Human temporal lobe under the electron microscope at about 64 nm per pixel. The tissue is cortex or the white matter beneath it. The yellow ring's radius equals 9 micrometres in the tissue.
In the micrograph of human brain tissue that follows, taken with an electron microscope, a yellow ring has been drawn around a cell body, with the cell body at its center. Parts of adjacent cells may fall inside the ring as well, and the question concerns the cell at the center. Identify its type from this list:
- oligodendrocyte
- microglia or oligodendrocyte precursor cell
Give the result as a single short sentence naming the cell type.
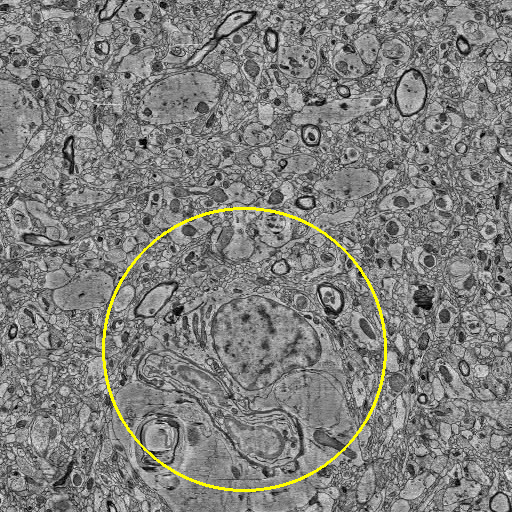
The ring is centered on a microglial cell or oligodendrocyte precursor cell.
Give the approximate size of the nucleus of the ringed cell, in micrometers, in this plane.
Roughly 7 by 6 micrometres in this plane, for the nucleus of the ringed cell.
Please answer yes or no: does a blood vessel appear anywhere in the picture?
Yes.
